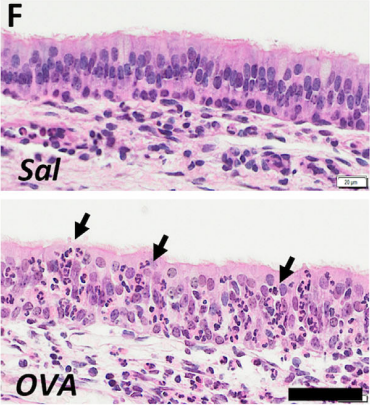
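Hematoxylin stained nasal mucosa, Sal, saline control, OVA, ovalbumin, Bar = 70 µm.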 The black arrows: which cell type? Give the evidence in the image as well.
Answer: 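Infiltrating leukocytes. The arrows point at small cells with dark, compact nuclei lying within the epithelium of the lower image. Such small dark-nucleated cells are far more numerous in the lower image than in the upper one.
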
